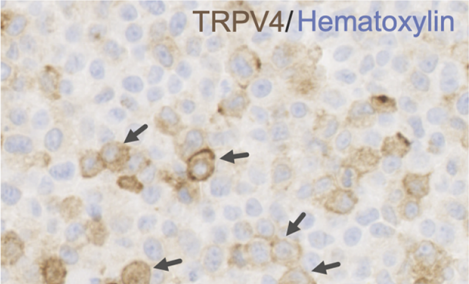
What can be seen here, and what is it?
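The cells are rounded, crowded side by side, each with a single round to oval pale blue nucleus showing fine chromatin, and a thin rim of pale cytoplasm around it. Some cells are stained more diffusely brown across their cytoplasm, while many others show only the blue nucleus with no brown at all.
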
